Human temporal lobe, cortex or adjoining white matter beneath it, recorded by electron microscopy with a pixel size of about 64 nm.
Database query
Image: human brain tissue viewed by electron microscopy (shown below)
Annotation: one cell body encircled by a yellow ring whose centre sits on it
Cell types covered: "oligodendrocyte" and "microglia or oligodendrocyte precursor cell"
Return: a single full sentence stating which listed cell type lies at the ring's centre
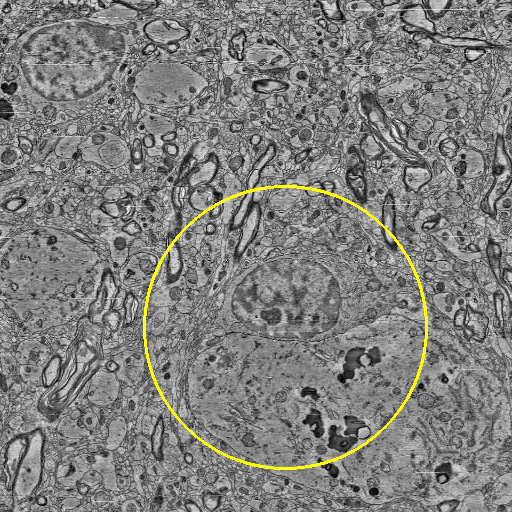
In the image, the cell lying at the ring's centre is an oligodendrocyte.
